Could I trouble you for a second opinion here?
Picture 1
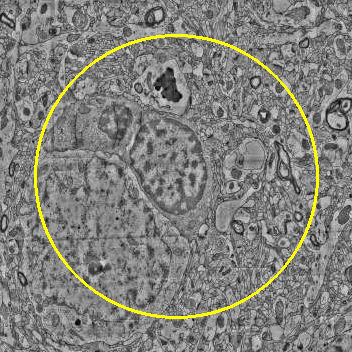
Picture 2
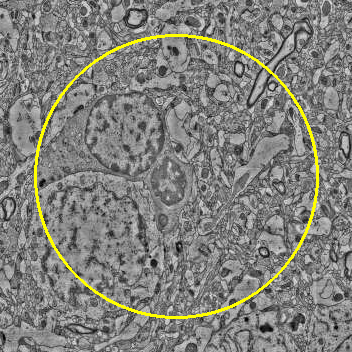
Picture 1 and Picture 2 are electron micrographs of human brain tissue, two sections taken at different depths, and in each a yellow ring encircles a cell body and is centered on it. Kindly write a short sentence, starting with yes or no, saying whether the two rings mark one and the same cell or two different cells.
Yes, what the two rings mark is one cell.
